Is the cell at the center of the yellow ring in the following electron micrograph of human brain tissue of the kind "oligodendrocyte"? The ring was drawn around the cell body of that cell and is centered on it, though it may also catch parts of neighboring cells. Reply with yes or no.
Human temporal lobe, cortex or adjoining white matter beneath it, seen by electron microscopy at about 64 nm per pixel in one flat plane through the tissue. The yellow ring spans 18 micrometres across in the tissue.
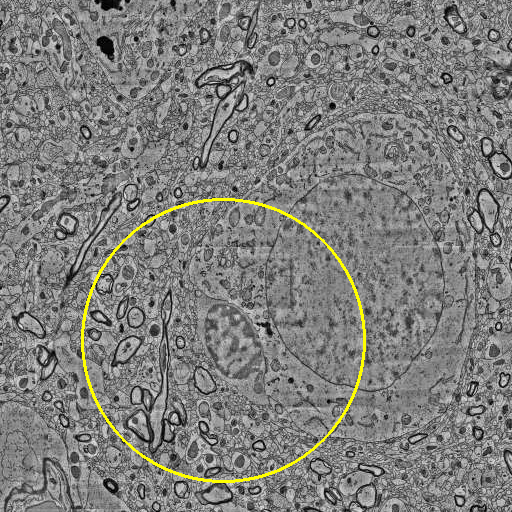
Yes, that is its kind.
